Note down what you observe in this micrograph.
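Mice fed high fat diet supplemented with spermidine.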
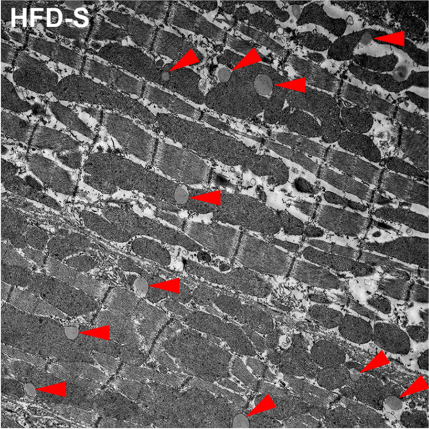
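Heart muscle cells are cut lengthwise, showing parallel myofibrils with regularly spaced dark Z-lines running diagonally across the field. Rows of dark, dense oval mitochondria lie between the myofibrils. Scattered among the mitochondria are small round, smooth, pale grey lipid droplets, often touching a mitochondrion.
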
